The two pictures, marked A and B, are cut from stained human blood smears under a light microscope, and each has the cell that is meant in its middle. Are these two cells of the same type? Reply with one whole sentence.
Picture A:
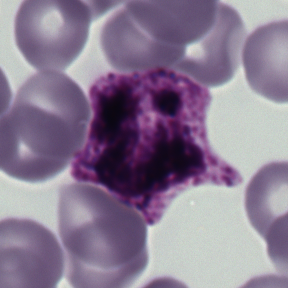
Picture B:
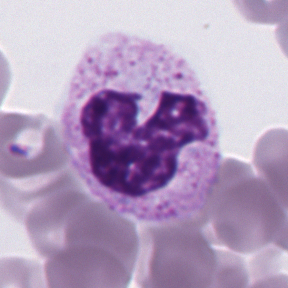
No, they differ: the cell is a basophil in picture A and a segmented neutrophil in picture B.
